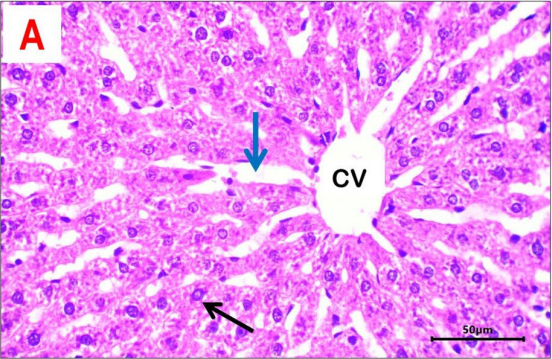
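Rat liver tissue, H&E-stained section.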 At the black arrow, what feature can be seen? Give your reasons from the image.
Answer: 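Rows of polygonal cells with round central nuclei and pink cytoplasm. The rows radiate from the central vessel.
Answer: hepatic cords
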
